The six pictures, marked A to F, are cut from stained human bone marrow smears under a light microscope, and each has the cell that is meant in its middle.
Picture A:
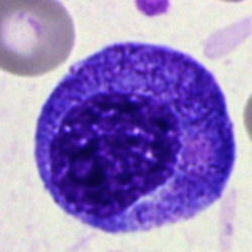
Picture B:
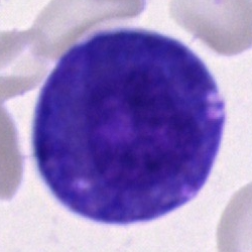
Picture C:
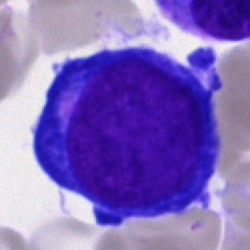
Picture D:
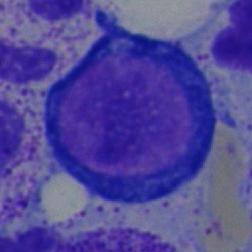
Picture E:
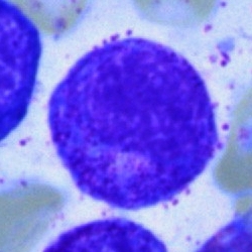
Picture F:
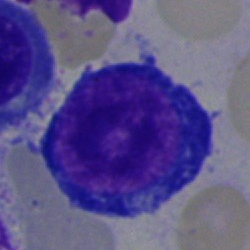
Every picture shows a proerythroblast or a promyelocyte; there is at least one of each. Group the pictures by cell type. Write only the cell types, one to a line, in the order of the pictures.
promyelocyte
promyelocyte
proerythroblast
proerythroblast
promyelocyte
proerythroblast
